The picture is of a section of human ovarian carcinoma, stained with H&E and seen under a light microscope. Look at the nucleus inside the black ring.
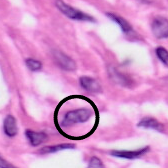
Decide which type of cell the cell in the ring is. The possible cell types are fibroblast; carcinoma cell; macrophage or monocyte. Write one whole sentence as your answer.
Labelled by cell type, the cell in the ring is a fibroblast.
